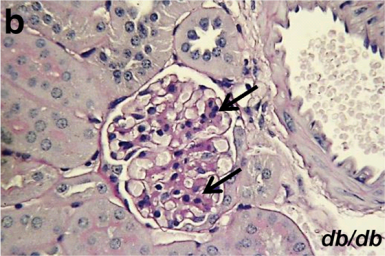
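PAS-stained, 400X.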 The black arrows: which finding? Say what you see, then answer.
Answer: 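The arrows point into the tuft of a round glomerulus at the center. Between the dark nuclei of the tuft lies pink-magenta stained matrix. The glomerular tuft is large and crowded, filling most of the capsule.
Answer: mesangial expansion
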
